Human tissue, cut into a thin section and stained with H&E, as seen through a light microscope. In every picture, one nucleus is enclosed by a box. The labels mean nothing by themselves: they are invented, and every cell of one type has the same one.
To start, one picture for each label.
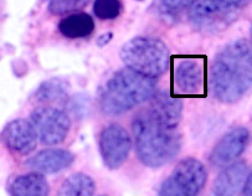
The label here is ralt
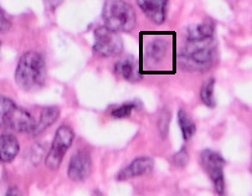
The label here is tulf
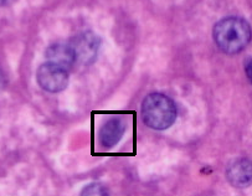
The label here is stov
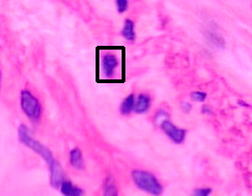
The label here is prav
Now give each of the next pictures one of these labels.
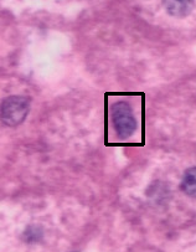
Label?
stov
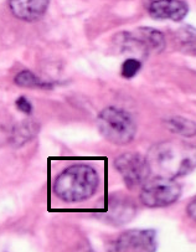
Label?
tulf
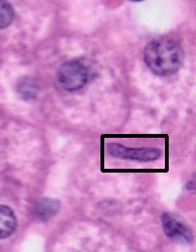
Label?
stov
